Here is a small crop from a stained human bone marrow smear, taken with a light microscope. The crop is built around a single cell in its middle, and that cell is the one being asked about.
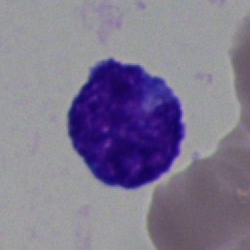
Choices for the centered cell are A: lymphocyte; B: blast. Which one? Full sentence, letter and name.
Of the options given, B is correct, the central cell being a blast.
